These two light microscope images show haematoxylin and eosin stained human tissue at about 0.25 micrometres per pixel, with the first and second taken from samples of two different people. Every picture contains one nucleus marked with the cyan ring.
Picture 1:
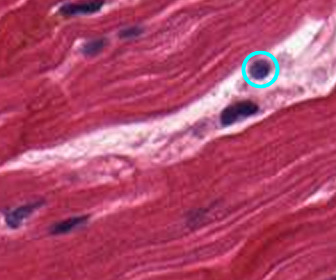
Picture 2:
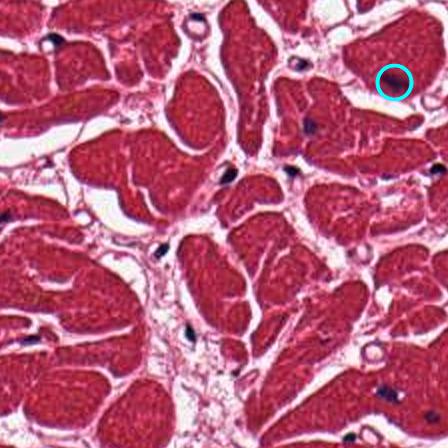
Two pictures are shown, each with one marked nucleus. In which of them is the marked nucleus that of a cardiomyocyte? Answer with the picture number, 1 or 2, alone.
2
